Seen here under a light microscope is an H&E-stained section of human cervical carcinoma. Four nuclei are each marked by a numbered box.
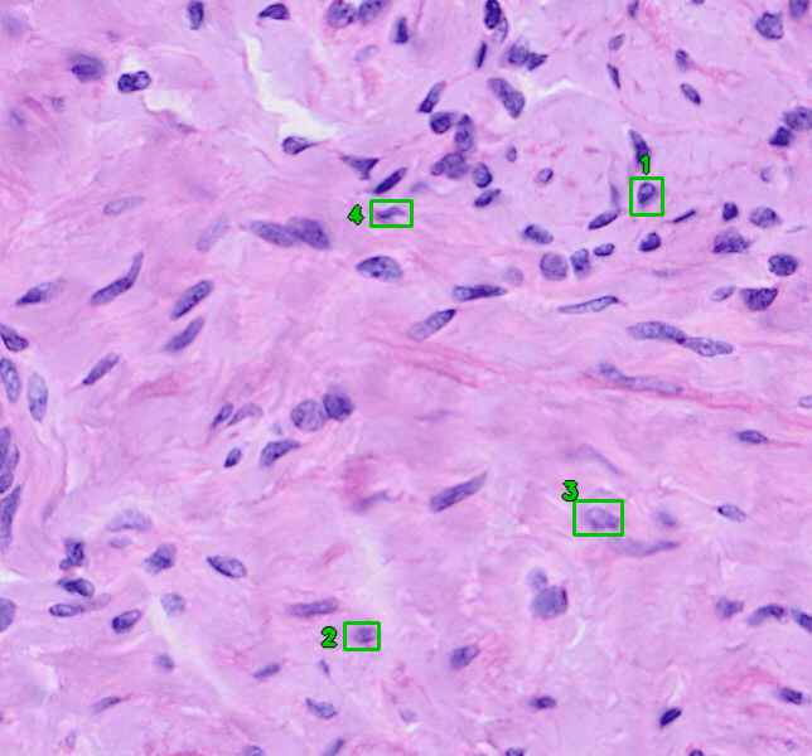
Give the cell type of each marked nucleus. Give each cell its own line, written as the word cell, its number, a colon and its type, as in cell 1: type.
cell 1: fibroblast
cell 2: smooth muscle cell
cell 3: fibroblast
cell 4: fibroblast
